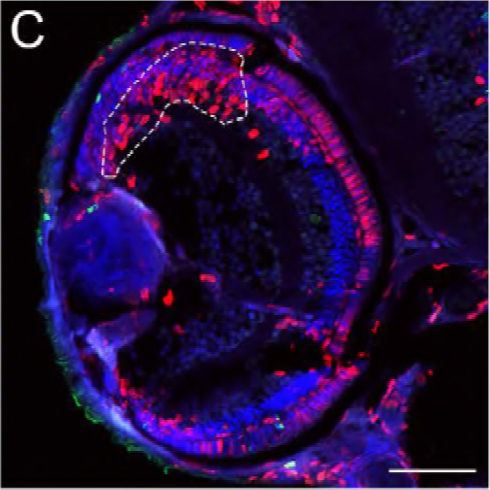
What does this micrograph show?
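This is a section of a laminated retina with the lens at one side. Blue nuclei are arranged in distinct layers: a thick inner layer of closely packed round nuclei and an outer layer along the back of the eye. The central retina has mostly blue nuclei. Green cells are few and scattered.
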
